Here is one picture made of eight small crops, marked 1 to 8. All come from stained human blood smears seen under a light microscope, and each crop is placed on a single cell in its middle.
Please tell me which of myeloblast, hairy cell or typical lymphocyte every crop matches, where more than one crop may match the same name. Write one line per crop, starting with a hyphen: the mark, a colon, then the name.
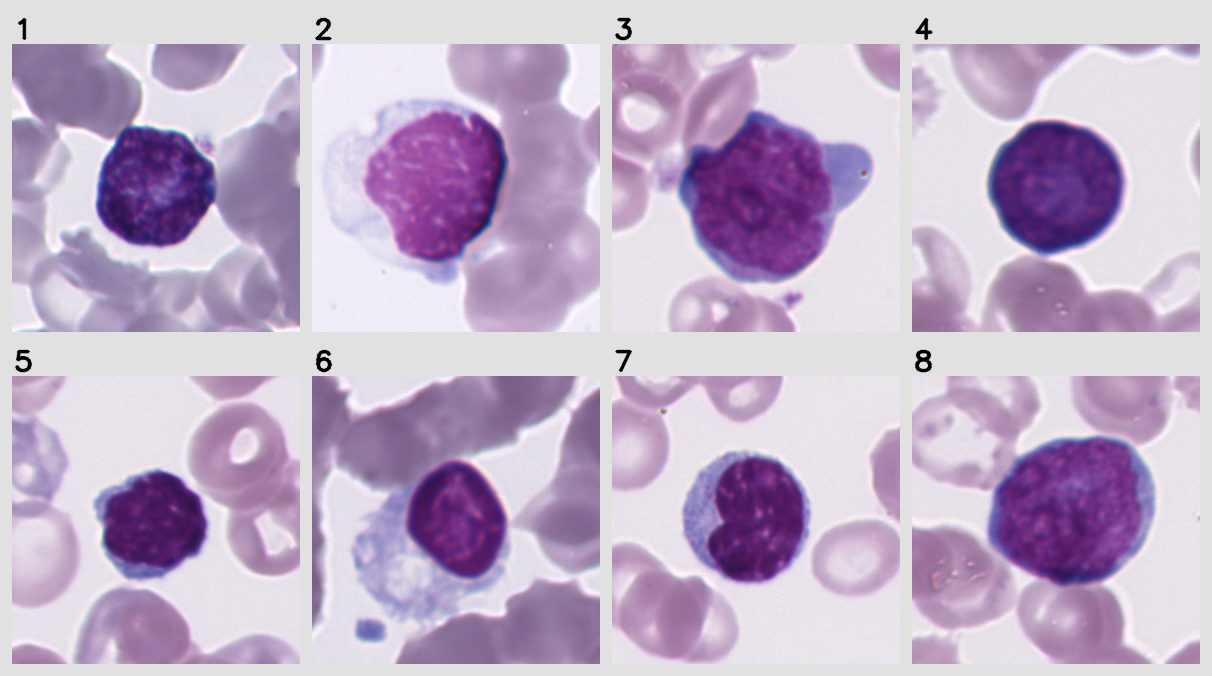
- 1: typical lymphocyte
- 2: typical lymphocyte
- 3: myeloblast
- 4: myeloblast
- 5: typical lymphocyte
- 6: hairy cell
- 7: typical lymphocyte
- 8: myeloblast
